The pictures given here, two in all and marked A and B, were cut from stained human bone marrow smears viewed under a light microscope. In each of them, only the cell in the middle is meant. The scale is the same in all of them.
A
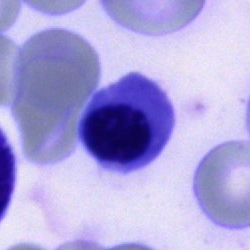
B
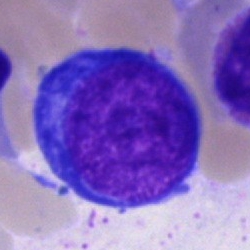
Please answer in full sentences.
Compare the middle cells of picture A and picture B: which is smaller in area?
It is the cell in picture A; the cell in picture B has about 3 times its area.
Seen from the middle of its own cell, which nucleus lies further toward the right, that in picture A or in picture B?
The nucleus in picture B lies further toward the right of its cell.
